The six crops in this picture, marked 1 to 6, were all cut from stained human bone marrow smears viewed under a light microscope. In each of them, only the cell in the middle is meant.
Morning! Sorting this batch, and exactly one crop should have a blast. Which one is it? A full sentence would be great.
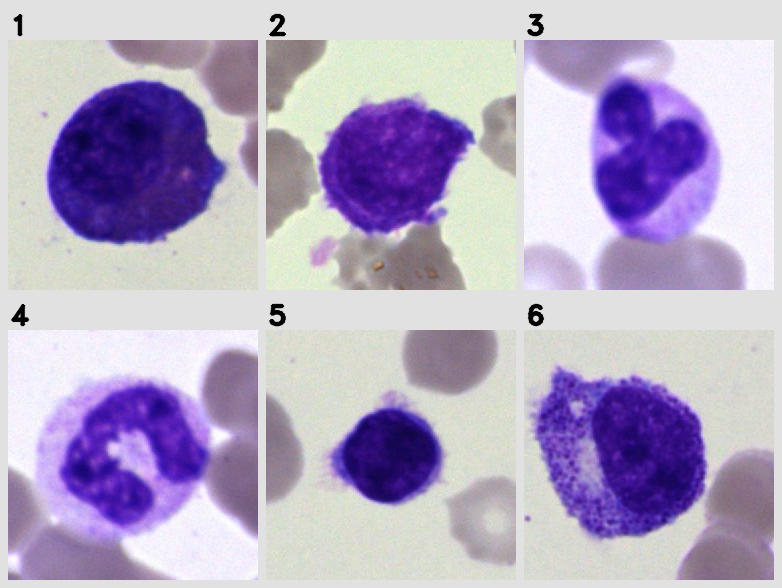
The one showing a blast is the crop labelled 2.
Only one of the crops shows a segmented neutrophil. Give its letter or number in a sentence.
Among the crops provided, a segmented neutrophil occupies the center of crop 3.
